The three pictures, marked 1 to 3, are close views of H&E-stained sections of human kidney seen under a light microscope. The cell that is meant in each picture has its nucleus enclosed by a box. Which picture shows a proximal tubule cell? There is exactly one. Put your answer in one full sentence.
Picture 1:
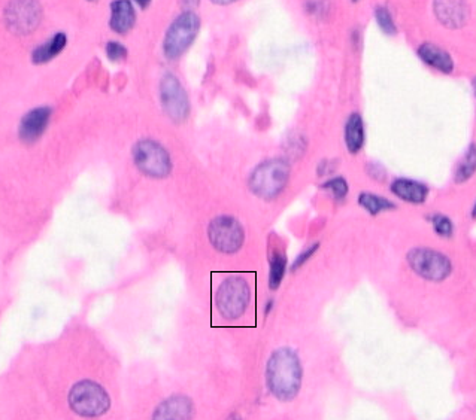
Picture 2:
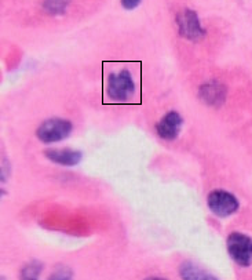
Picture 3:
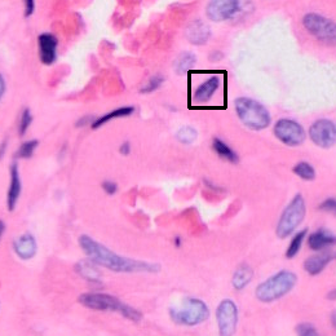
The proximal tubule cell is the one in picture 1.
